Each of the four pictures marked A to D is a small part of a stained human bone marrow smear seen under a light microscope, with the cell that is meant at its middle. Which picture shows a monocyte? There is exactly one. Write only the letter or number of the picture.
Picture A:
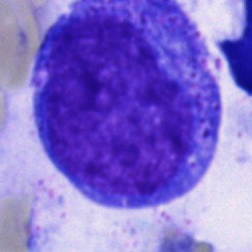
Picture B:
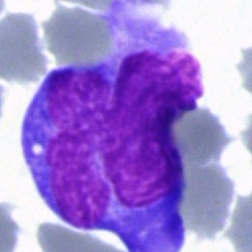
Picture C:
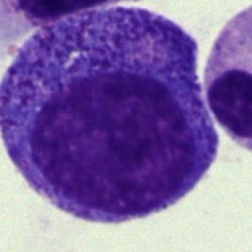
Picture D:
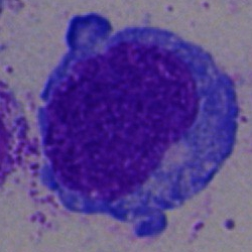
B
